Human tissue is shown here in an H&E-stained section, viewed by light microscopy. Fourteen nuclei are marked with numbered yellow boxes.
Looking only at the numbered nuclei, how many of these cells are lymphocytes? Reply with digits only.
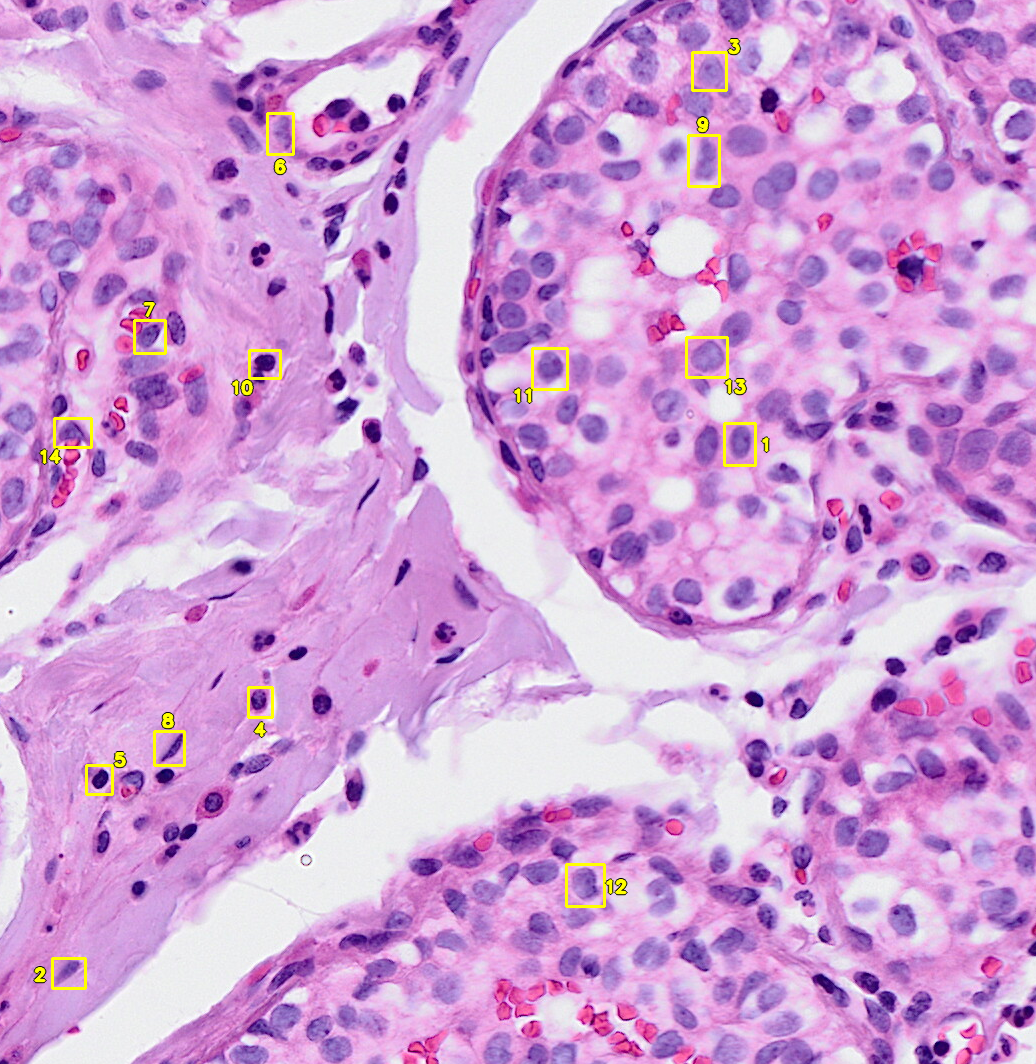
2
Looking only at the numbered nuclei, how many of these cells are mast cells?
1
